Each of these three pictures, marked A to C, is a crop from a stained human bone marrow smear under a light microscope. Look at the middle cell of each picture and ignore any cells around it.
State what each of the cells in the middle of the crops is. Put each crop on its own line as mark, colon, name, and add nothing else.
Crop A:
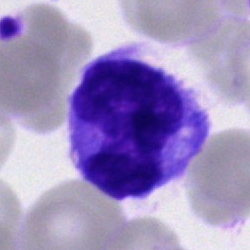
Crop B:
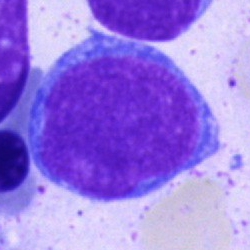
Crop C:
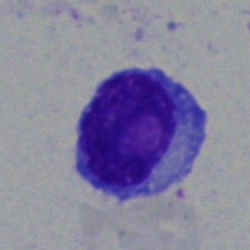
A: monocyte
B: blast
C: lymphocyte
